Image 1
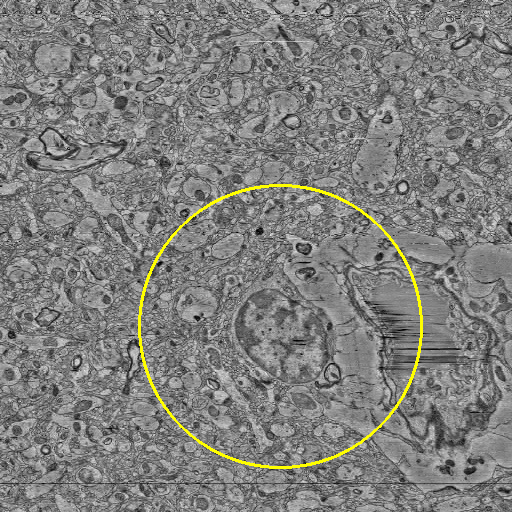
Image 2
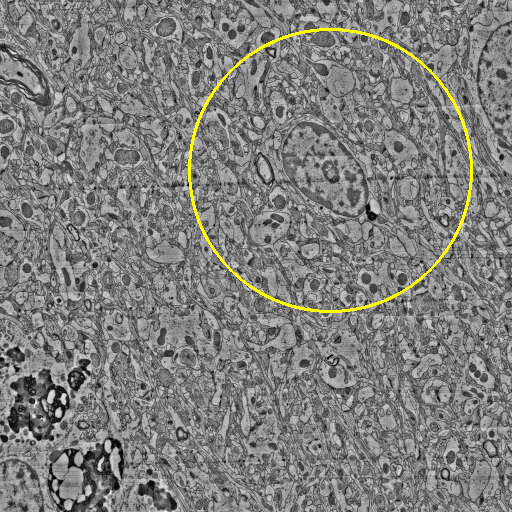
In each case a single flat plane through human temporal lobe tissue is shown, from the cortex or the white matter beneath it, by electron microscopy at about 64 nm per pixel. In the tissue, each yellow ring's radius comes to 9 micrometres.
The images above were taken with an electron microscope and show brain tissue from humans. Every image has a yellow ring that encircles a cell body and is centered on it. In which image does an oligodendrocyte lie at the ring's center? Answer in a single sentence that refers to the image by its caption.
In Image 1, the cell at the center of the yellow ring is the correct match.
